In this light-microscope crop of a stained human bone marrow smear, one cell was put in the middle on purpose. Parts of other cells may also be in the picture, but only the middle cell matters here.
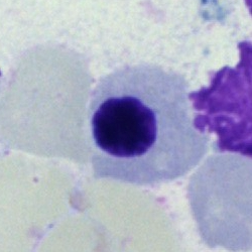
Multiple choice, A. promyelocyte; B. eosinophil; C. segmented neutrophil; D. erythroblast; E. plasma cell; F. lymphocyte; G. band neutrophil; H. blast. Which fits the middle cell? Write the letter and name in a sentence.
Option D is the correct one; it names the central cell as an erythroblast.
